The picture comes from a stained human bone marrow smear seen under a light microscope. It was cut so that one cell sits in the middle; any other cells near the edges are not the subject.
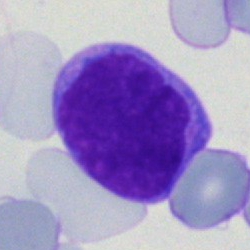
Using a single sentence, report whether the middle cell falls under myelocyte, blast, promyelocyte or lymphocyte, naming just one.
The centrally positioned cell in the crop represents a blast.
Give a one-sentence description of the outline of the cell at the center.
Worth noting that the cell border is smooth and lacks projections.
